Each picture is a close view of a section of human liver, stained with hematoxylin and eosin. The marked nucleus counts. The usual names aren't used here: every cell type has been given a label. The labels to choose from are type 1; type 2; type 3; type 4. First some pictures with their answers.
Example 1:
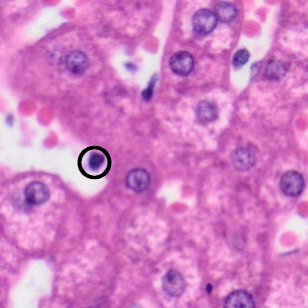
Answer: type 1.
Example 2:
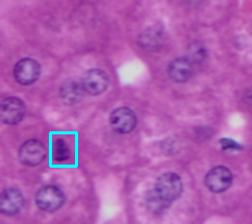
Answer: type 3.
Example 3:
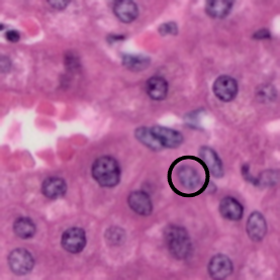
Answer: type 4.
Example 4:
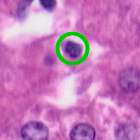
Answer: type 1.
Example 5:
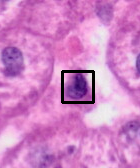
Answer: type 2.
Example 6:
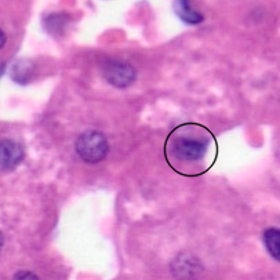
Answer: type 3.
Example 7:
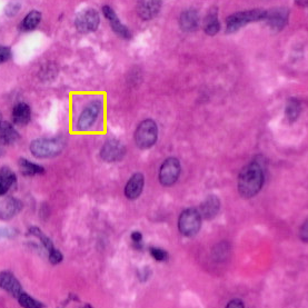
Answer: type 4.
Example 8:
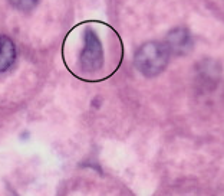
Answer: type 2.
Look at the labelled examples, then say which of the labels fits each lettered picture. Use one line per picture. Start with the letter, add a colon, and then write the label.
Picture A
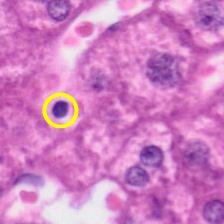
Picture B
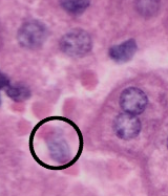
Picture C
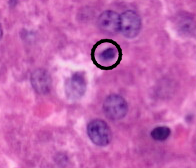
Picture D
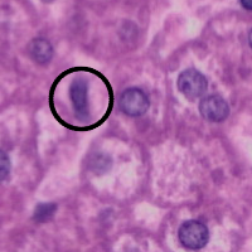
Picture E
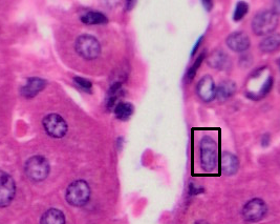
A: type 1.
B: type 2.
C: type 1.
D: type 2.
E: type 4.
